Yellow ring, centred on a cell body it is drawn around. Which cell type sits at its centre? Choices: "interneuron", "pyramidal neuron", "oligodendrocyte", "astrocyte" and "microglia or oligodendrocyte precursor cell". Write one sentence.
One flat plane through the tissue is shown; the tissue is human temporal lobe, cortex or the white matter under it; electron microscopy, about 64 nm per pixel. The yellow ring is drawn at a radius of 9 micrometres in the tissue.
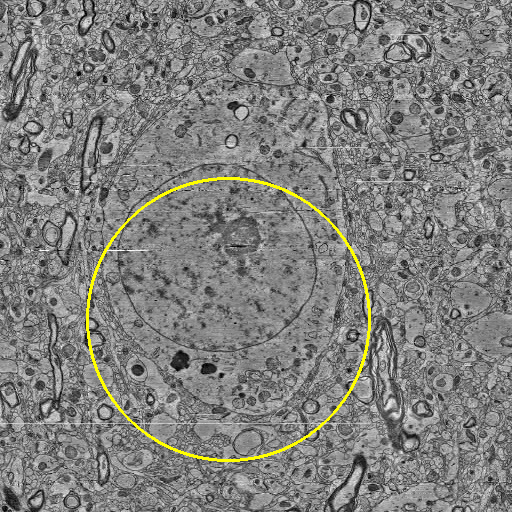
At the centre of the ring sits a pyramidal neuron.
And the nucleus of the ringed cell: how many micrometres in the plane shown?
Approximately 13 micrometres across, in this plane.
